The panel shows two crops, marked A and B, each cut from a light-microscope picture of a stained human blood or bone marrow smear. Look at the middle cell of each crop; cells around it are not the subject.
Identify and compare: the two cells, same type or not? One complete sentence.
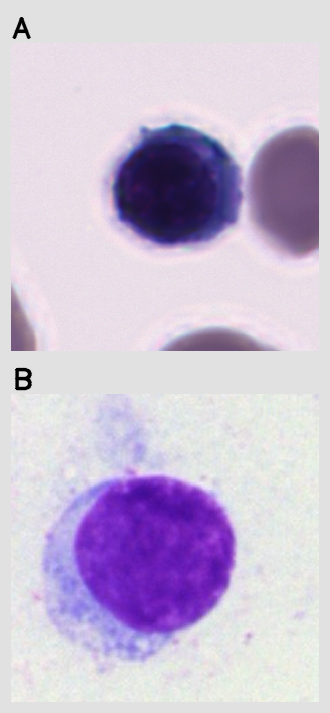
No, a plasma cell is depicted by crop A, a hairy cell by crop B.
